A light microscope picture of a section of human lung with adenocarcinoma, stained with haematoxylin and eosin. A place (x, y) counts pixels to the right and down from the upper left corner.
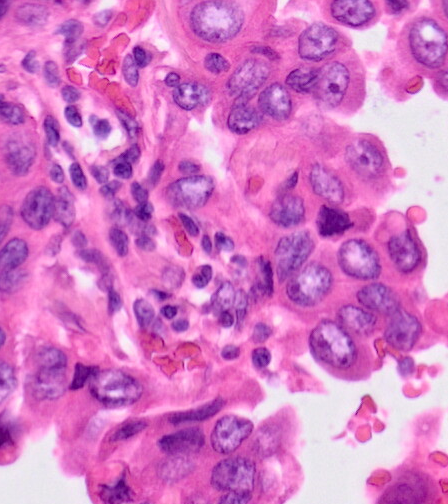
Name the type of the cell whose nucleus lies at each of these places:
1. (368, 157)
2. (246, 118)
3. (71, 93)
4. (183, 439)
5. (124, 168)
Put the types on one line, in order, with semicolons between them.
carcinoma cell; carcinoma cell; lymphocyte; carcinoma cell; lymphocyte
